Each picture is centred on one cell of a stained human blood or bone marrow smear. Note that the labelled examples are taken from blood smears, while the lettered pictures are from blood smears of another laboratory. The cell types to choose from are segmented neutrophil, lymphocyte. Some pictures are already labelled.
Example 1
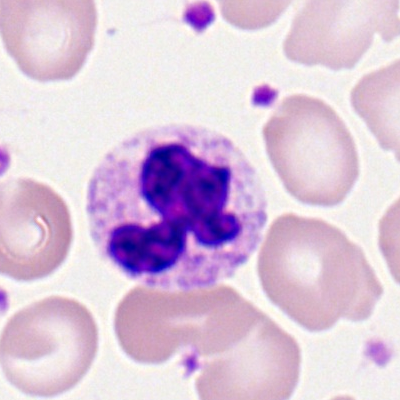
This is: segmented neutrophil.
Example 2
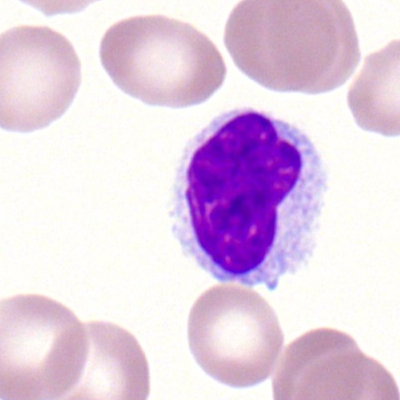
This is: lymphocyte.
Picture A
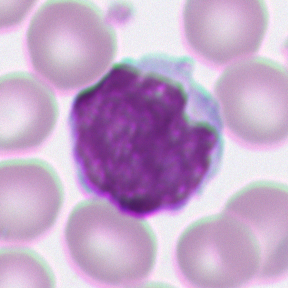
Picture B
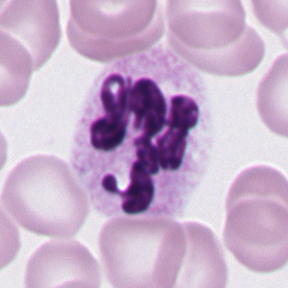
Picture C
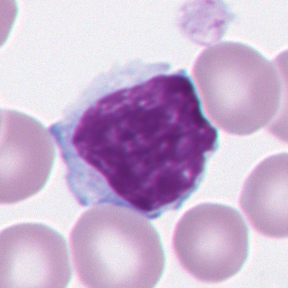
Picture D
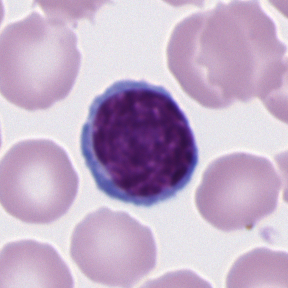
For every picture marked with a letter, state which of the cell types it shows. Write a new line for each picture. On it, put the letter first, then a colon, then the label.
A: lymphocyte.
B: segmented neutrophil.
C: lymphocyte.
D: lymphocyte.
